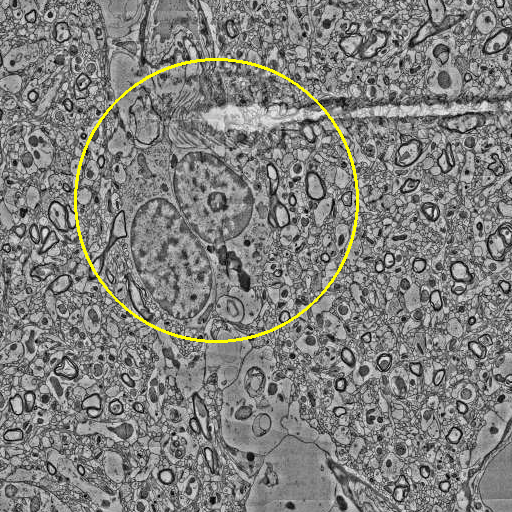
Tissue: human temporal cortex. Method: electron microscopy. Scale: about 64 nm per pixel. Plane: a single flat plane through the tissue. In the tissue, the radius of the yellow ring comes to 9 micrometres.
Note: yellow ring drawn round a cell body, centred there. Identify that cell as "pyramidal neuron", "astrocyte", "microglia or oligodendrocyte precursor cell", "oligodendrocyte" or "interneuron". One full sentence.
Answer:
The cell in the middle of the ring is an oligodendrocyte.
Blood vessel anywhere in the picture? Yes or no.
Yes, a blood vessel can be seen.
